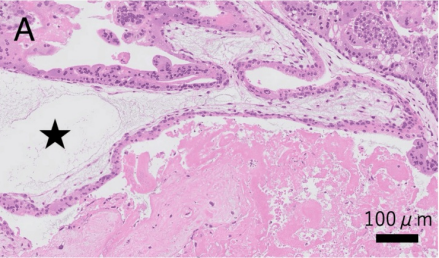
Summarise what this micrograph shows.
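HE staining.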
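Chorionic villus tissue is shown, with a markedly edematous, pale and loosely textured stroma containing few cells. The villi are covered by a thin layer of trophoblast with pink cytoplasm and dark nuclei, and a mass of dense pink eosinophilic material lies alongside.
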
